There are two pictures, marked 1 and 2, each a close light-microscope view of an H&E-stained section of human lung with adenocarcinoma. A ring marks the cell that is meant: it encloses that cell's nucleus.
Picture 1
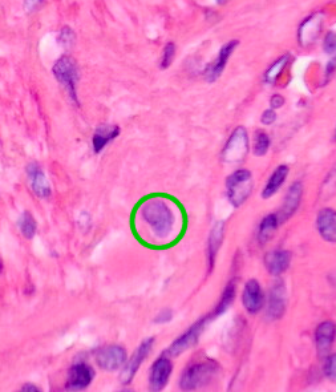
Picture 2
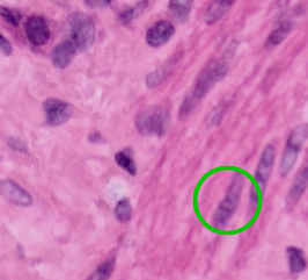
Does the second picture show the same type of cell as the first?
no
